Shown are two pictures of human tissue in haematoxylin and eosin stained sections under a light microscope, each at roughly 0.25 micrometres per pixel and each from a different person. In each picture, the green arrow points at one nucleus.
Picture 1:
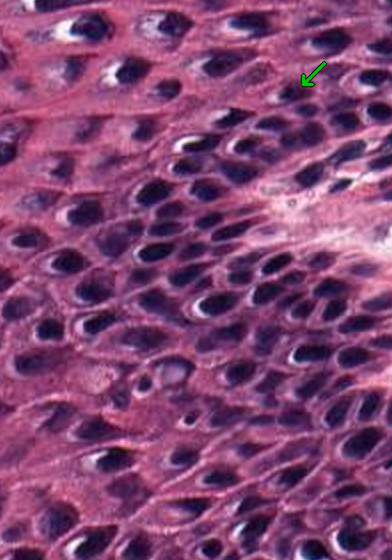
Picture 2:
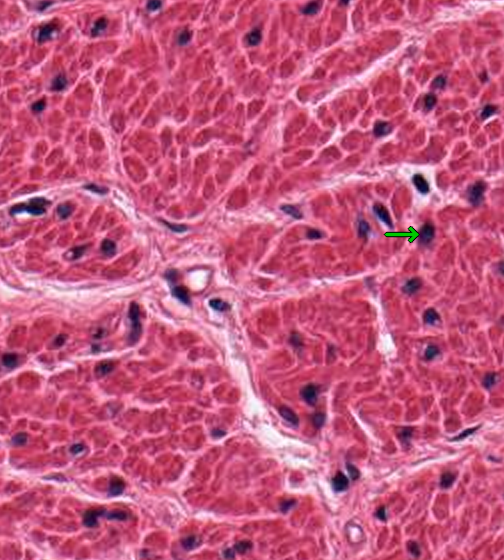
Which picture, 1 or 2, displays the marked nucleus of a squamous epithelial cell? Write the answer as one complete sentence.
Only in picture 1 does the marked nucleus belong to a squamous epithelial cell.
